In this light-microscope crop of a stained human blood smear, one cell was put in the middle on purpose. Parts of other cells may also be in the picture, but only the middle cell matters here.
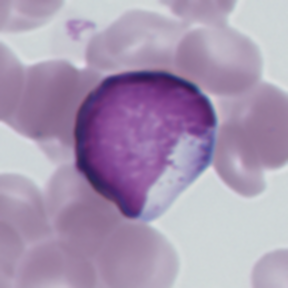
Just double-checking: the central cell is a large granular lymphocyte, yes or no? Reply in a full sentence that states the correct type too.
Yes, at the centre of the crop lies a large granular lymphocyte.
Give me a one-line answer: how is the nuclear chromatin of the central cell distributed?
The chromatin is delicate and fine, lacking coarse clumping entirely.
